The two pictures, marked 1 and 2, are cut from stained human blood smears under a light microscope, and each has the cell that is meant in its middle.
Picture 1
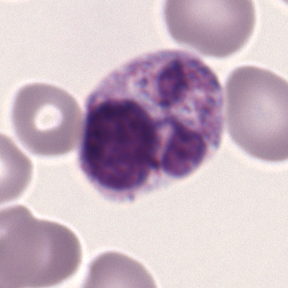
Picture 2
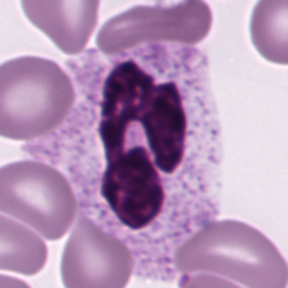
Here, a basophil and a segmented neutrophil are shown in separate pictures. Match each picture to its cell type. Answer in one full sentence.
The cell in picture 1 is a basophil, and the one in picture 2 is a segmented neutrophil.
